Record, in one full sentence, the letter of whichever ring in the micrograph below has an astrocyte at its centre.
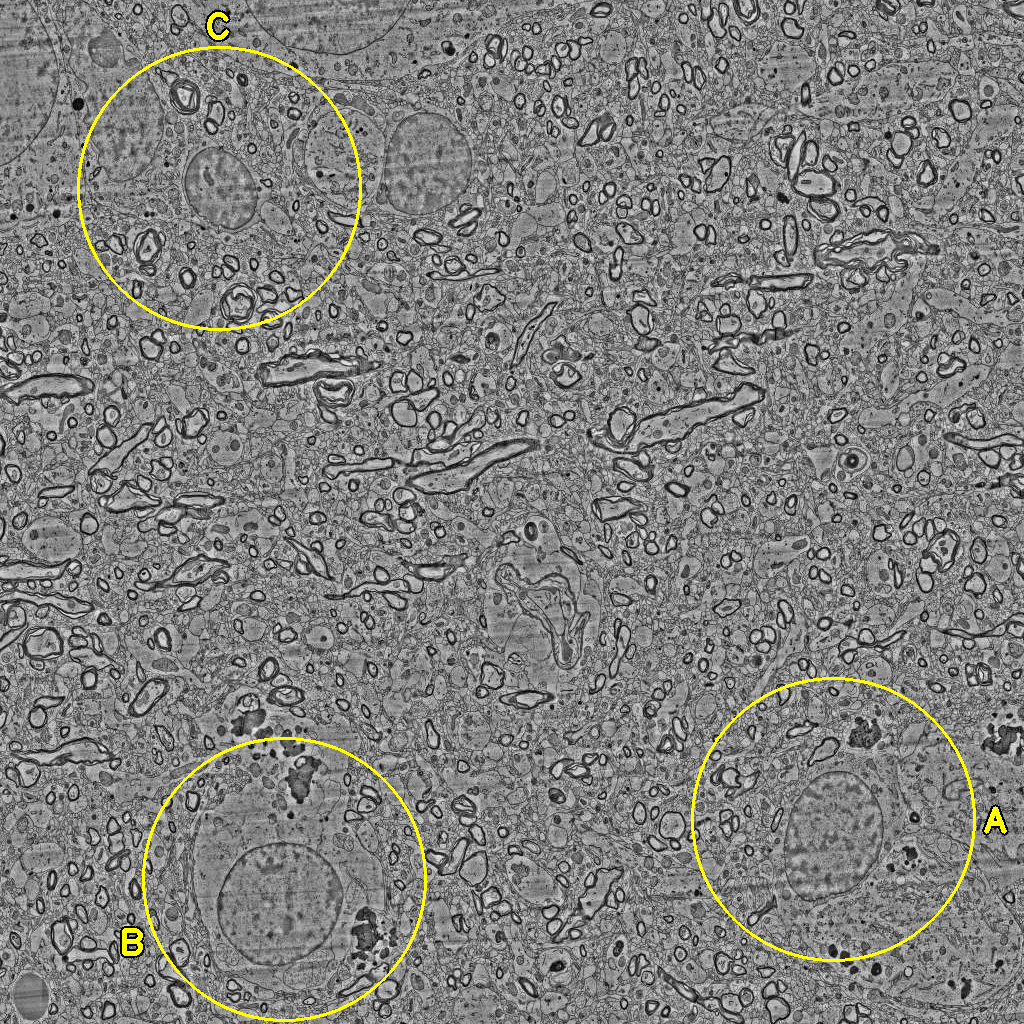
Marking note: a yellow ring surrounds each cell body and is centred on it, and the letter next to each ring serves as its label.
For the cell asked for, the ring centred on it carries the letter B.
